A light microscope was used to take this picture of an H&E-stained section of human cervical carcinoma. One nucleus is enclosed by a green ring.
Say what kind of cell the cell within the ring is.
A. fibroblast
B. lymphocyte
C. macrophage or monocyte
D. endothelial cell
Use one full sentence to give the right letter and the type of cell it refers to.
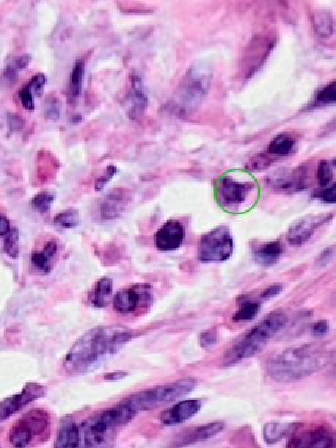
Given that the cell within the ring is a macrophage or monocyte, option C is the correct one.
